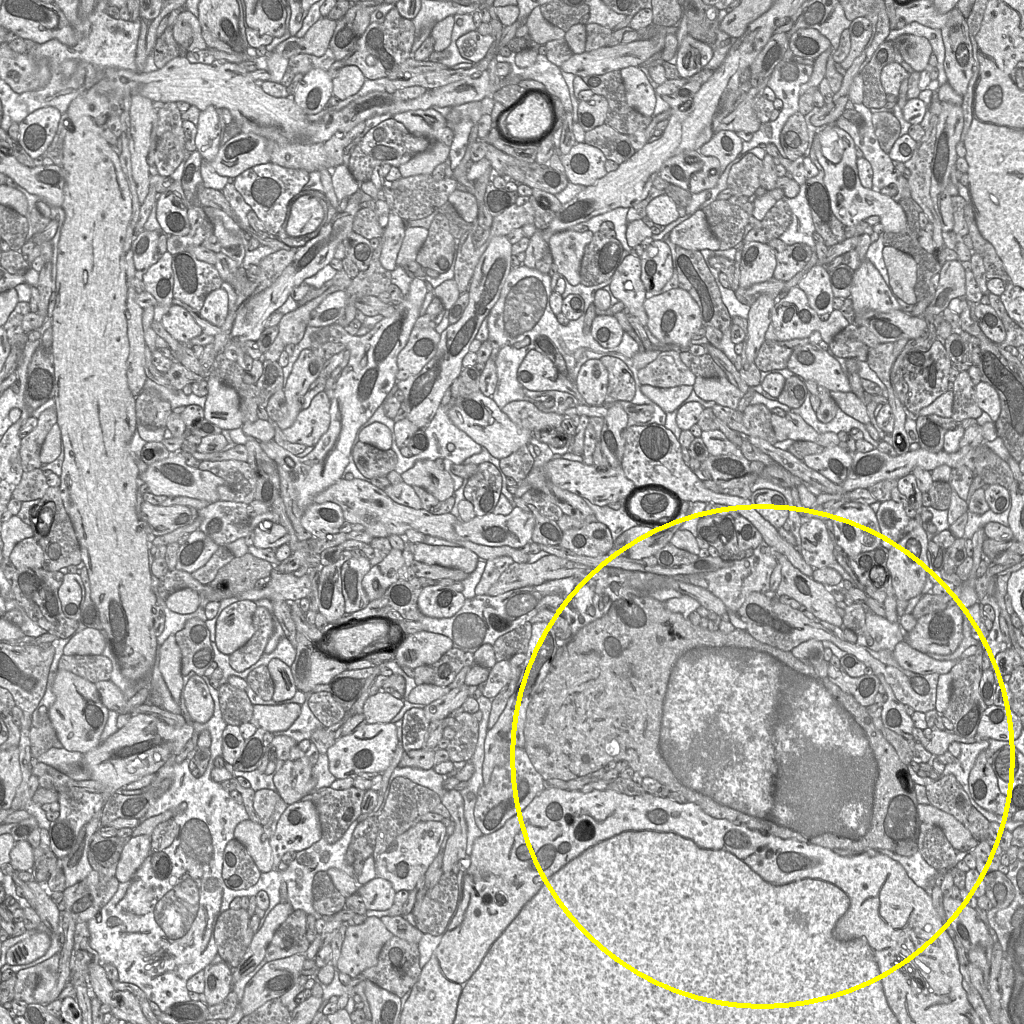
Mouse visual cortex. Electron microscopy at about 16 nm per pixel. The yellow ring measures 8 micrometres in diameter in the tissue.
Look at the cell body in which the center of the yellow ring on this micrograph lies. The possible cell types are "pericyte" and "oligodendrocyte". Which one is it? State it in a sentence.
The cell at the middle of the ring is an oligodendrocyte.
